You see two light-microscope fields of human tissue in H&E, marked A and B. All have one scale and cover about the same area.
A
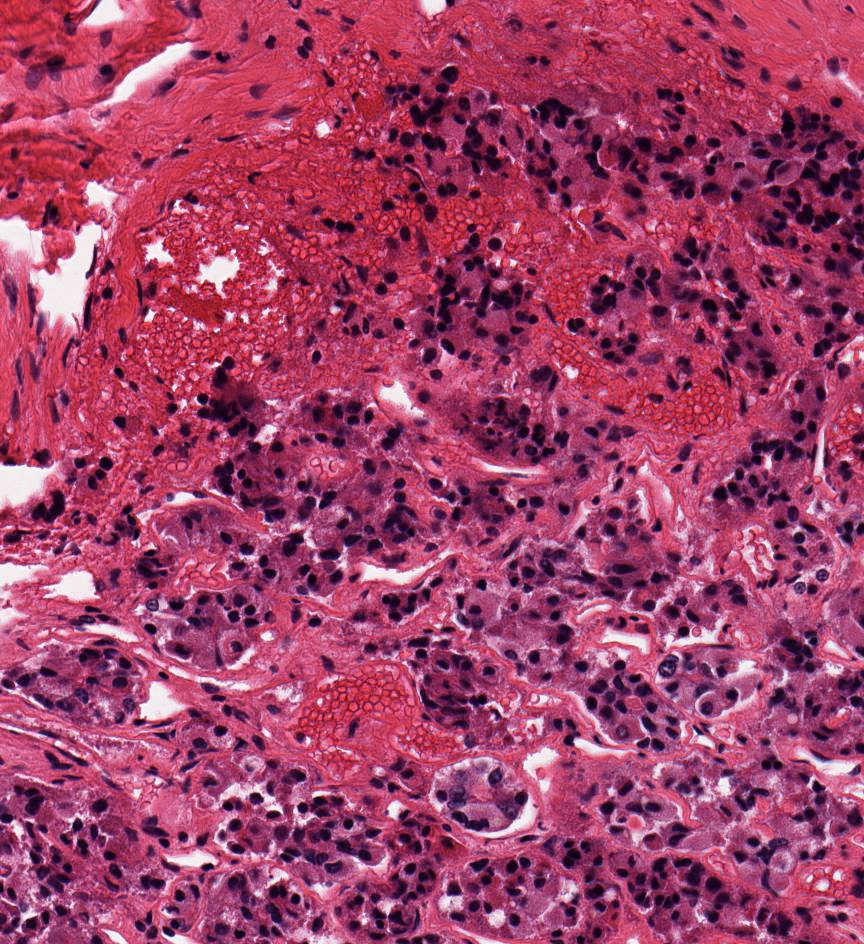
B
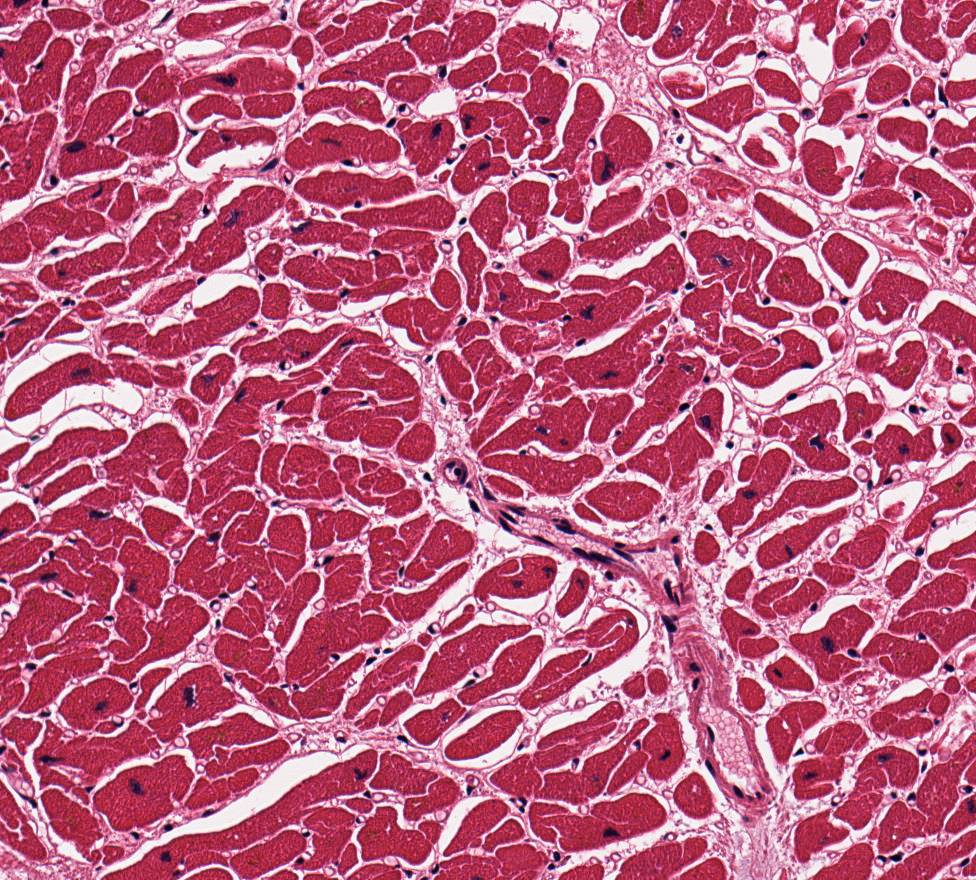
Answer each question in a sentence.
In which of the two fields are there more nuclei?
There are more nuclei in field A.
